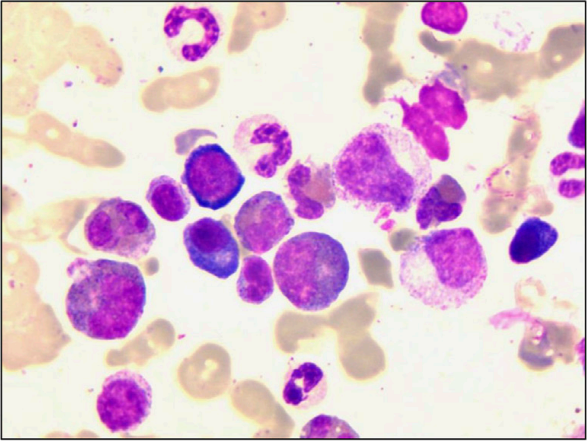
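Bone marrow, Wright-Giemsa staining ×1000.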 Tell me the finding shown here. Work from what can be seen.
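Granular cells at different degrees of maturity lie together.
Hence: marked eosinophilia.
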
